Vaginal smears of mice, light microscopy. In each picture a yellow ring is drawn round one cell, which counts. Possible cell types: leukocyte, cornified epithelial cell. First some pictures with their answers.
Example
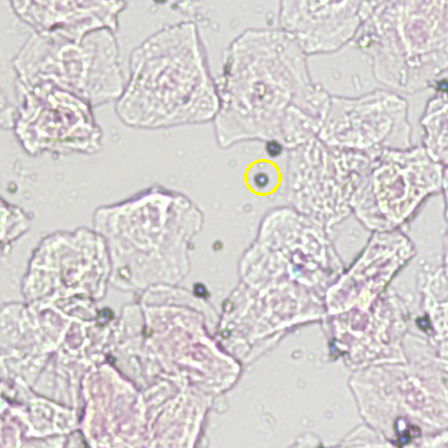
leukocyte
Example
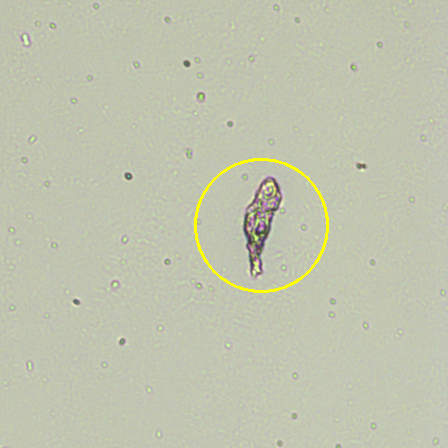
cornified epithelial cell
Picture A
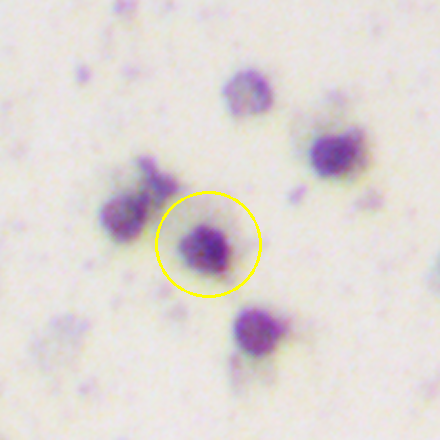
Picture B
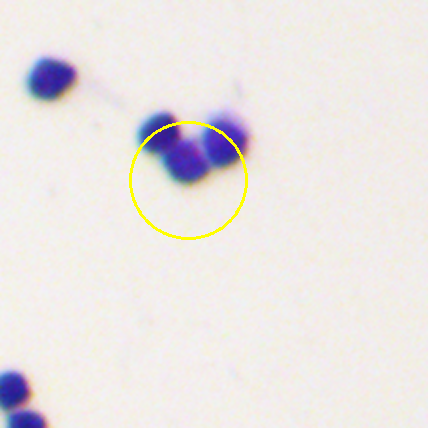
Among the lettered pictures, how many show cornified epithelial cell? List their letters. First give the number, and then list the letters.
0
